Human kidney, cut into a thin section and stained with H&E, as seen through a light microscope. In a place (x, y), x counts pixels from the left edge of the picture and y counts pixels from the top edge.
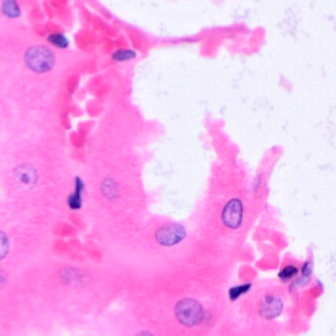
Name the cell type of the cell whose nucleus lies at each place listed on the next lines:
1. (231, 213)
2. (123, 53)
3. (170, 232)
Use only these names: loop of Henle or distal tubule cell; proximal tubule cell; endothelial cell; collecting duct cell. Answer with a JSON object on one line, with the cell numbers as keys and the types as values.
{"1": "proximal tubule cell", "2": "endothelial cell", "3": "proximal tubule cell"}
